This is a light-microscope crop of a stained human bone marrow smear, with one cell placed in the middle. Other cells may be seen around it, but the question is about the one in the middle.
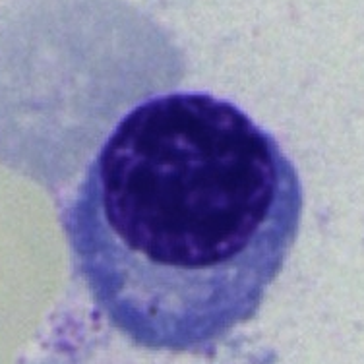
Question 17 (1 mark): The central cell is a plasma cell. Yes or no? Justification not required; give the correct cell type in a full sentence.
No, the label for the central cell is an erythroblast, not a plasma cell.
